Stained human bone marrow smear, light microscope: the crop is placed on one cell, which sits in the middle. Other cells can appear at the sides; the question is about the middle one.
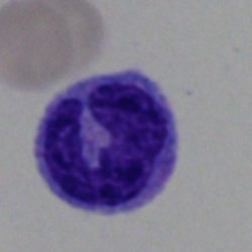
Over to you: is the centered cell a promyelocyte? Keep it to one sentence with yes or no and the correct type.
No, the cell in the middle of the crop counts as a monocyte and not as a promyelocyte.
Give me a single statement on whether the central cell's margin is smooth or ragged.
Thanks for asking; the cell edge is smooth and has no projections.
